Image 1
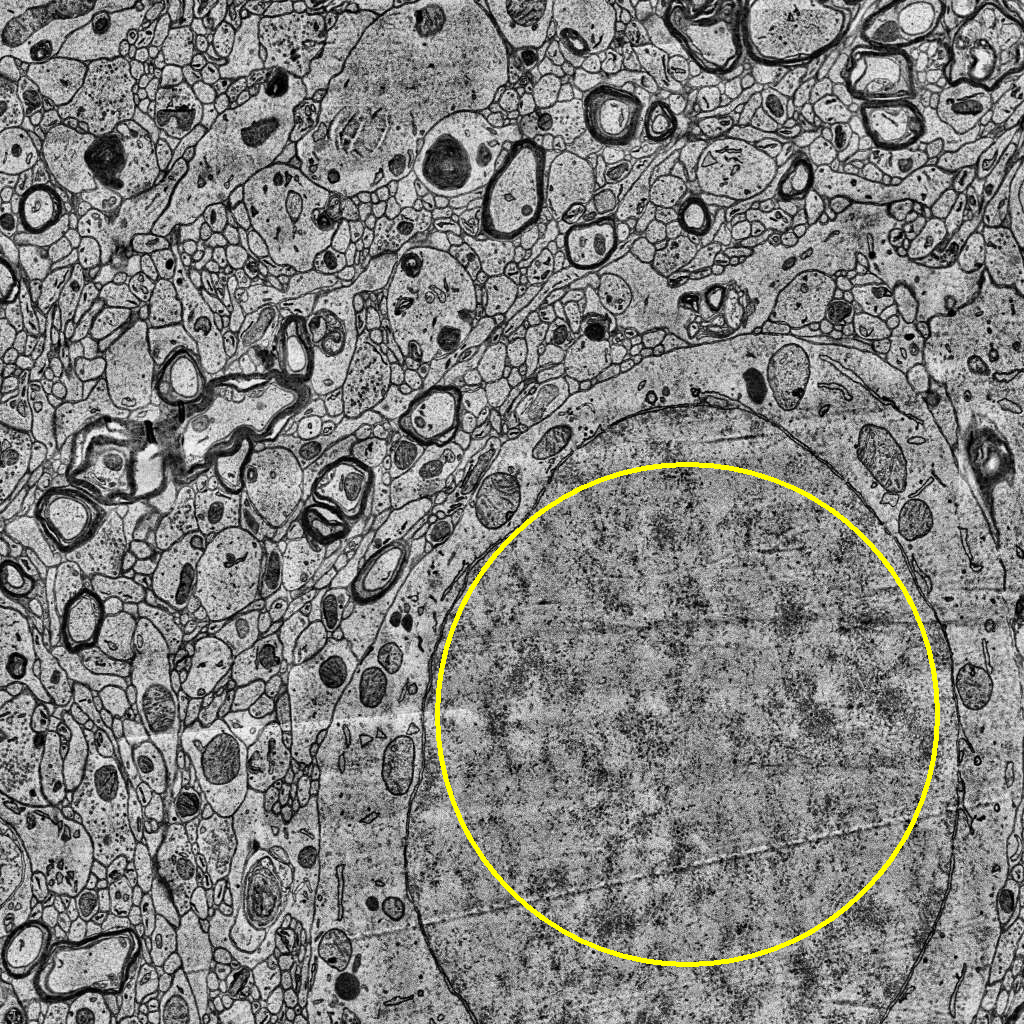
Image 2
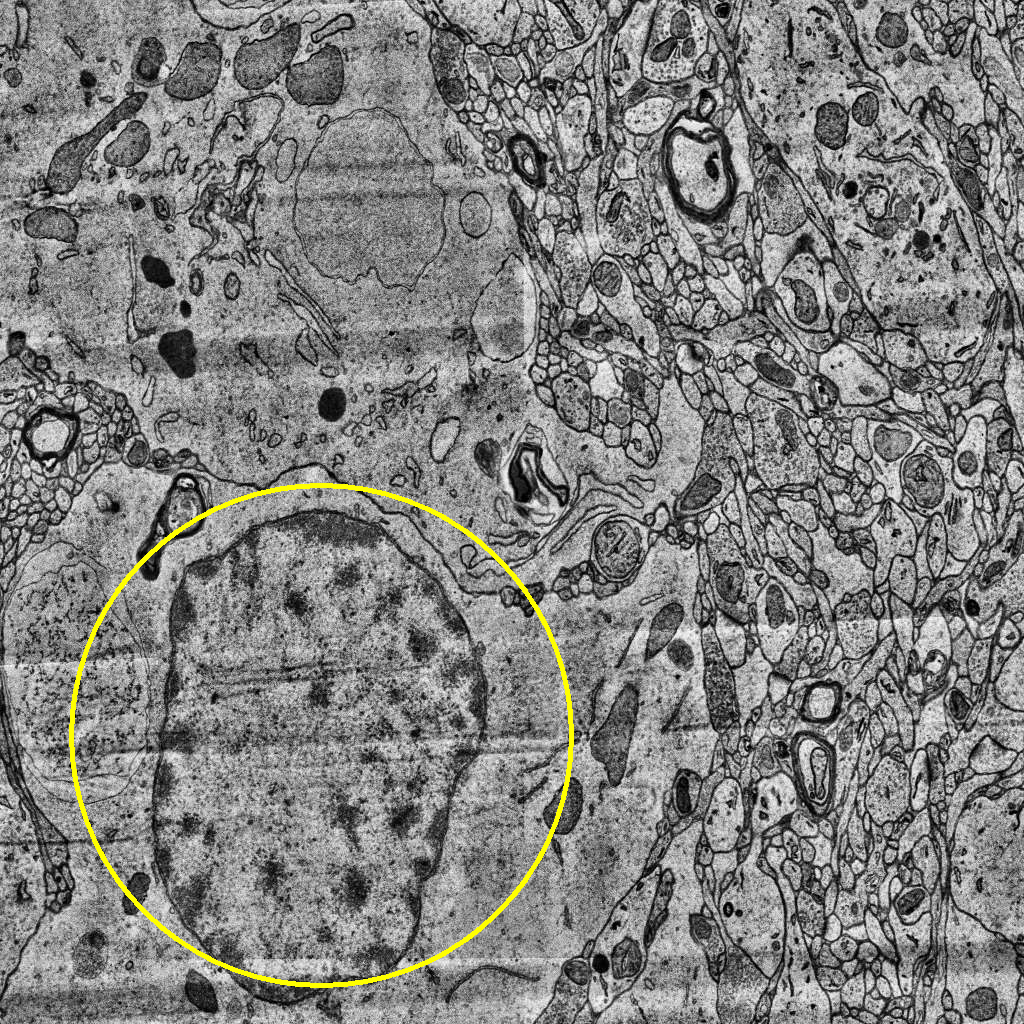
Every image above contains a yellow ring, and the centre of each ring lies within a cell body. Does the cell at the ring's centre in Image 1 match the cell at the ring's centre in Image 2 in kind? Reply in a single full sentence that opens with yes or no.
No, the cell at the ring's centre in Image 1 is a separate kind from that in Image 2.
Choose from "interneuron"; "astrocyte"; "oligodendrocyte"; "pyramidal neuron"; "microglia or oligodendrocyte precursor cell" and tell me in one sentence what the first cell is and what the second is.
The first cell is a pyramidal neuron; the second is an astrocyte.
